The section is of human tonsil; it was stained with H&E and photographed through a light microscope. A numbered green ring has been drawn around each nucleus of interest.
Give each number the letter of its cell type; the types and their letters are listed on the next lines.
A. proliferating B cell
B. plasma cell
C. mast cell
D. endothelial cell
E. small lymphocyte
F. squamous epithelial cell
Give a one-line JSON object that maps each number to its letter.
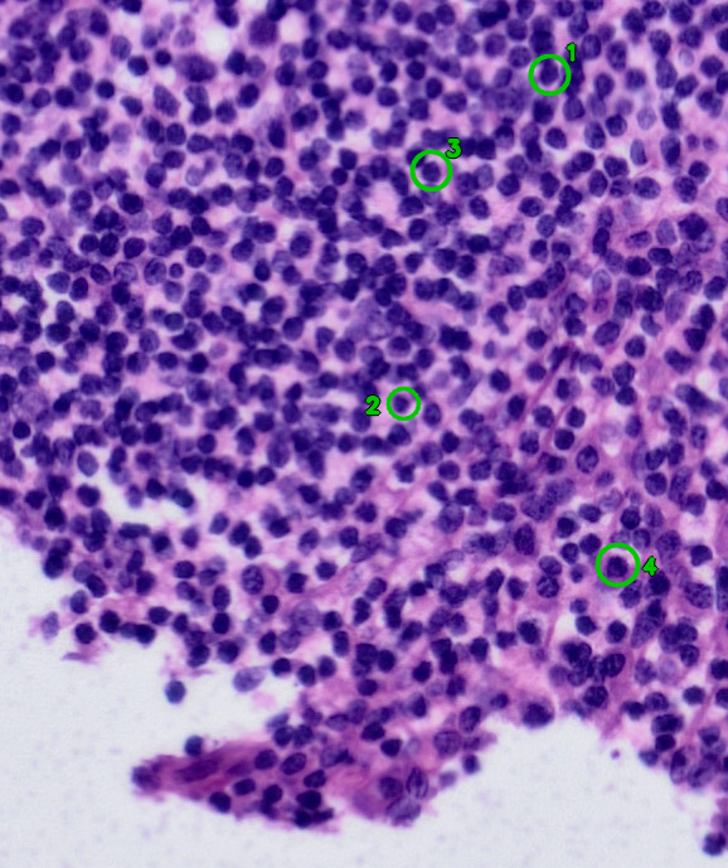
{"1": "E", "2": "E", "3": "E", "4": "B"}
